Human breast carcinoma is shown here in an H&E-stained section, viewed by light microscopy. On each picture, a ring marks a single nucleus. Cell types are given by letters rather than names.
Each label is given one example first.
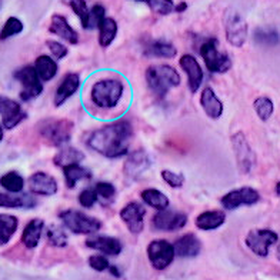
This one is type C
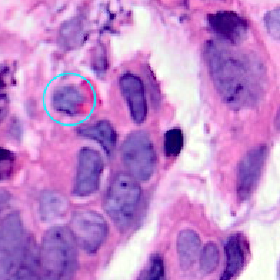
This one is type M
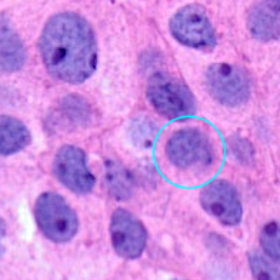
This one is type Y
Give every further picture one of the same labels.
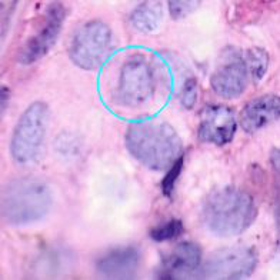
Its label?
type Y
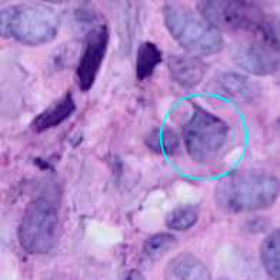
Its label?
type Y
